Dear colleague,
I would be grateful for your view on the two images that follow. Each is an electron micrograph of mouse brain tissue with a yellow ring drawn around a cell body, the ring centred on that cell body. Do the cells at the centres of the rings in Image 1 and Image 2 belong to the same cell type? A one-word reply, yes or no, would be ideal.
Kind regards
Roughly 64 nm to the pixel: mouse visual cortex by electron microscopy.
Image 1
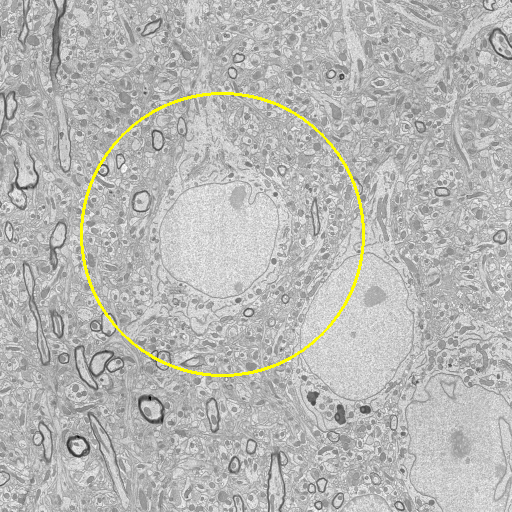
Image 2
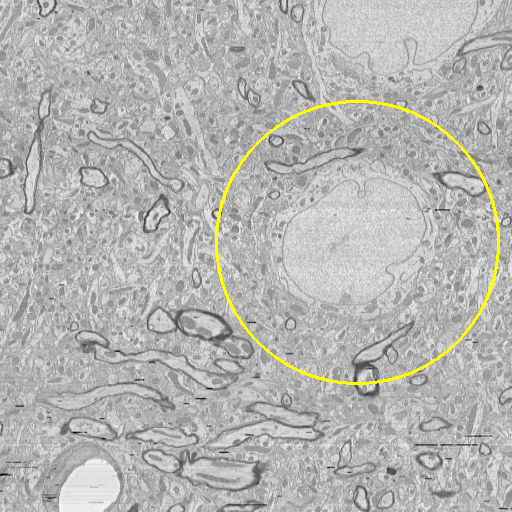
yes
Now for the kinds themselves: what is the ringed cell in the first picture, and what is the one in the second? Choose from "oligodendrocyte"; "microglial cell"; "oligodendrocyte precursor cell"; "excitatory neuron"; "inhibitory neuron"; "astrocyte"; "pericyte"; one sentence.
Each of the two pictures has an excitatory neuron at the ring centre.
